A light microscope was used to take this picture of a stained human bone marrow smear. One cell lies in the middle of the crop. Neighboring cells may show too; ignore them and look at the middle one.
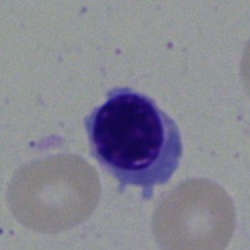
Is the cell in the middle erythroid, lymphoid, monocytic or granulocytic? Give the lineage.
erythroid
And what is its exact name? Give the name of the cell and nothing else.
erythroblast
